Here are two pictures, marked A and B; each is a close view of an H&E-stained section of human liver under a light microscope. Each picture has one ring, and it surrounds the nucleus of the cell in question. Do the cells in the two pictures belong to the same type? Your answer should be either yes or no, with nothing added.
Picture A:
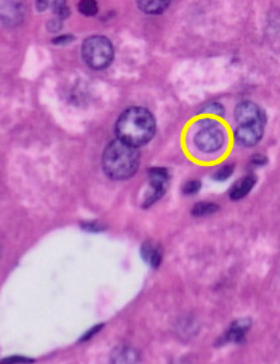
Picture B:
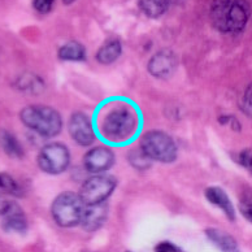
yes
